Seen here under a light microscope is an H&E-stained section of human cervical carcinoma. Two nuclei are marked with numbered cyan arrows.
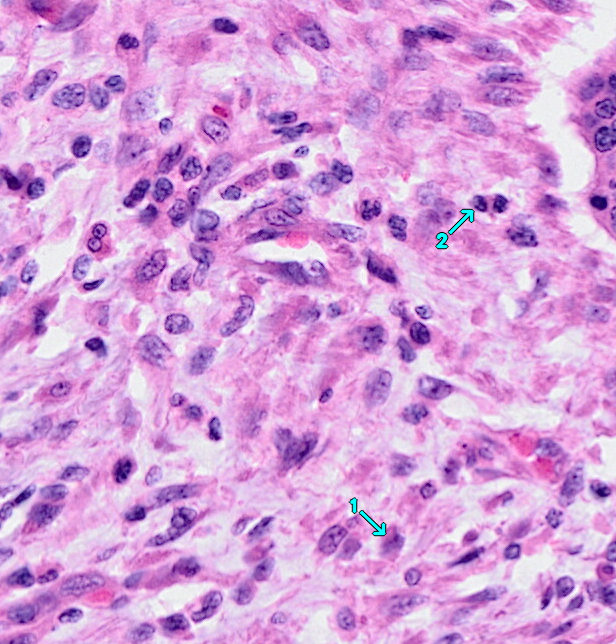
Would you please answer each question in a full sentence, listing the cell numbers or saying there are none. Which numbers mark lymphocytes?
There is only one numbered cell that is a lymphocyte, and it is cell 2.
